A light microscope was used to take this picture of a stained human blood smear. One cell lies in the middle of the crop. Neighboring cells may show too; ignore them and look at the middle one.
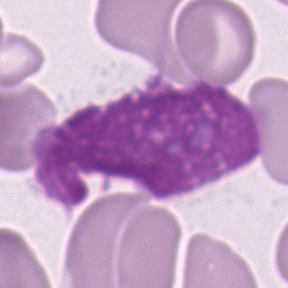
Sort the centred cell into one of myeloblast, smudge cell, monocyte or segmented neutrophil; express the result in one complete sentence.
Where the crop is centred, there is a smudge cell.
